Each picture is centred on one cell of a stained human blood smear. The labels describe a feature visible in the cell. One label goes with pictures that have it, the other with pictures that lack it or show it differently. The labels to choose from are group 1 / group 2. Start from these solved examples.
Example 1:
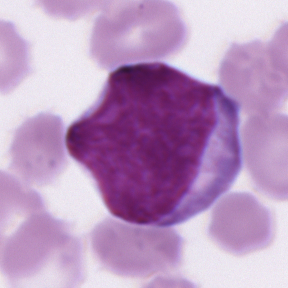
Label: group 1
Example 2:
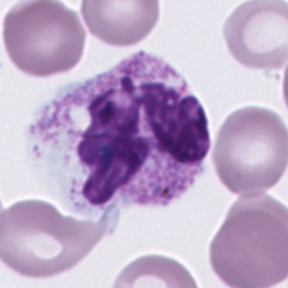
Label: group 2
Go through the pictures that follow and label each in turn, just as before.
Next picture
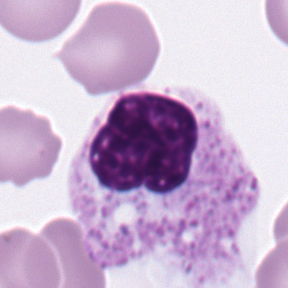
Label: group 2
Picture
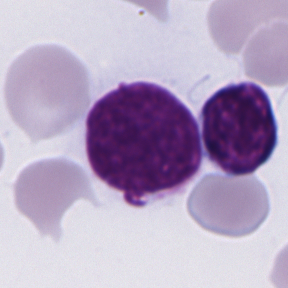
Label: group 1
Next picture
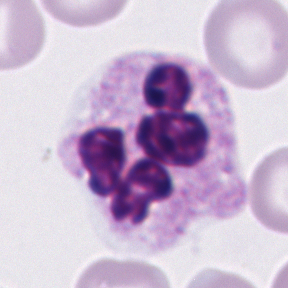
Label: group 1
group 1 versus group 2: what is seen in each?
group 1, no vacuoles; group 2, vacuoles present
